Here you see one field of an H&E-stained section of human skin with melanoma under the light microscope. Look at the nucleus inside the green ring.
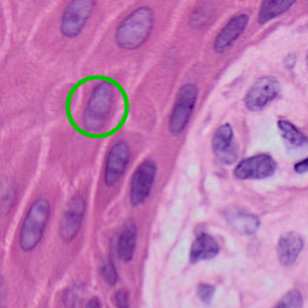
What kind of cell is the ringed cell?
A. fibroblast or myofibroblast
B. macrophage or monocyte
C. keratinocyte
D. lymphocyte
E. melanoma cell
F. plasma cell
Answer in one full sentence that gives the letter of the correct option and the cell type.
Answer with option C; the ringed cell is a keratinocyte.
